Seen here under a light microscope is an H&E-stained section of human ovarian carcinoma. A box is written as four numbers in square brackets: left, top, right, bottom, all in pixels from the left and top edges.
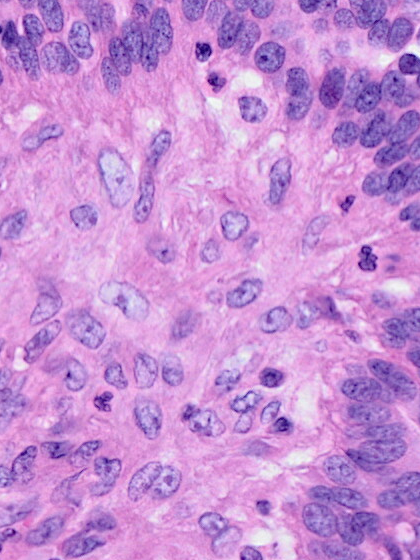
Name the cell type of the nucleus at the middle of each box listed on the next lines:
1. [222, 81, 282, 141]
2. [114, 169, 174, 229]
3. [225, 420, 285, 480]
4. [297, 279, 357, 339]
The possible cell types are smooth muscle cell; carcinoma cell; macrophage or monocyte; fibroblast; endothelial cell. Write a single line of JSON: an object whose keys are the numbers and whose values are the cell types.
{"1": "macrophage or monocyte", "2": "fibroblast", "3": "fibroblast", "4": "fibroblast"}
